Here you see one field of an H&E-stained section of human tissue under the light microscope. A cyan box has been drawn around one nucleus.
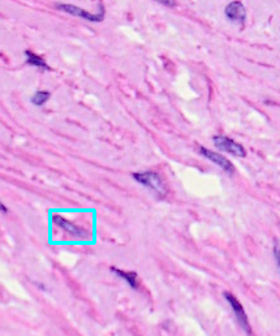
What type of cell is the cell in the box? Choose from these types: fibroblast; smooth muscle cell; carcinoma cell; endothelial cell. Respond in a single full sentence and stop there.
In this section, the cell in the box is a fibroblast.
